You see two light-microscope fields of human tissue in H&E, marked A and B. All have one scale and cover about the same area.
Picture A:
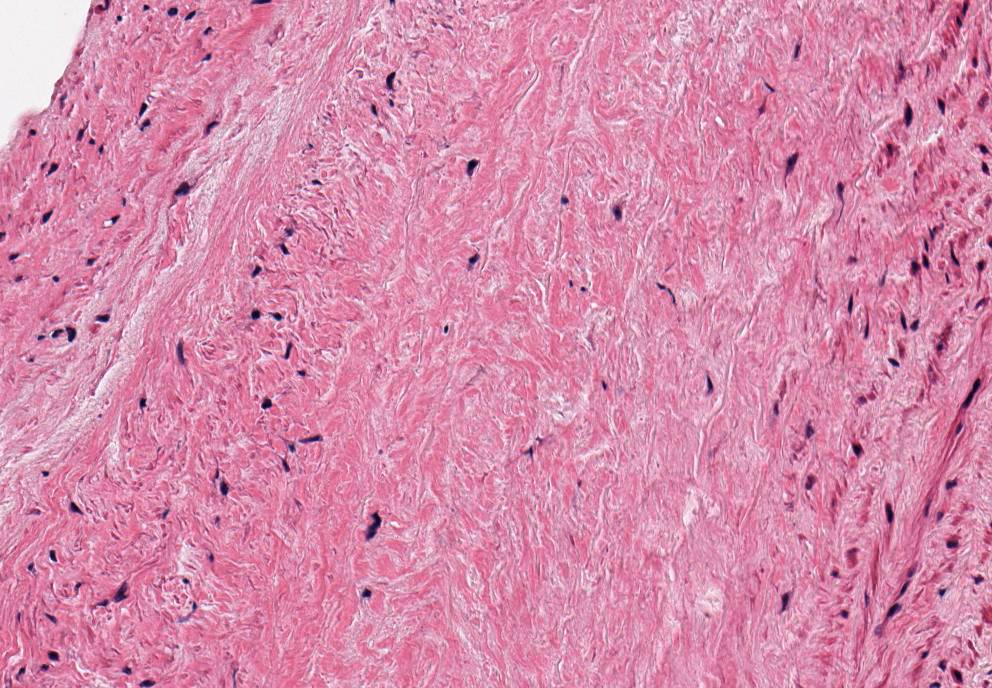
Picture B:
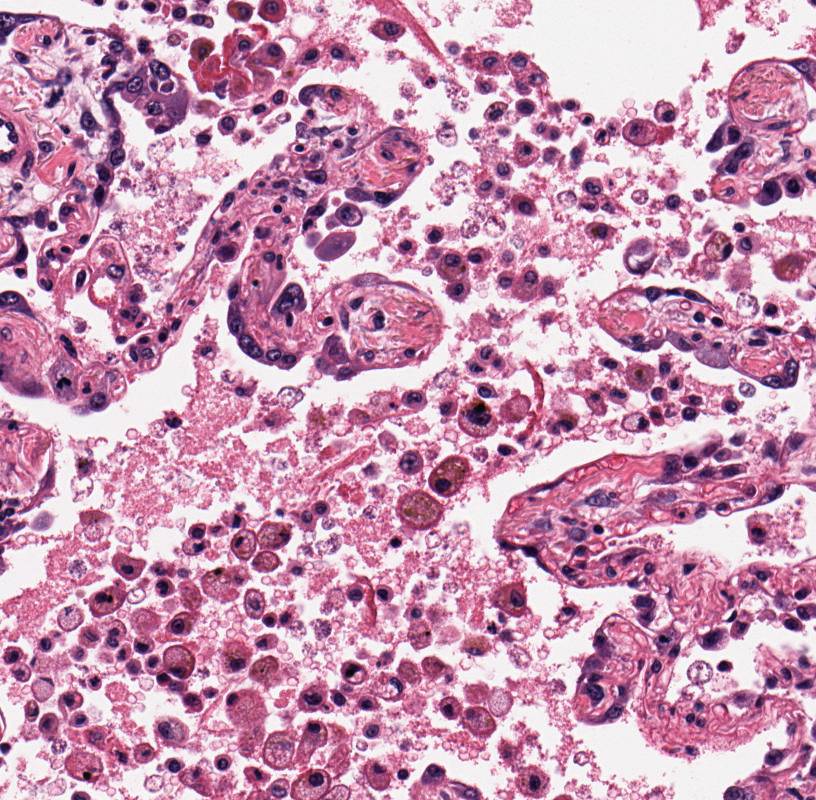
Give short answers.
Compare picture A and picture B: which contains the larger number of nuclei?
B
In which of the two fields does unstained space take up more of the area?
B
